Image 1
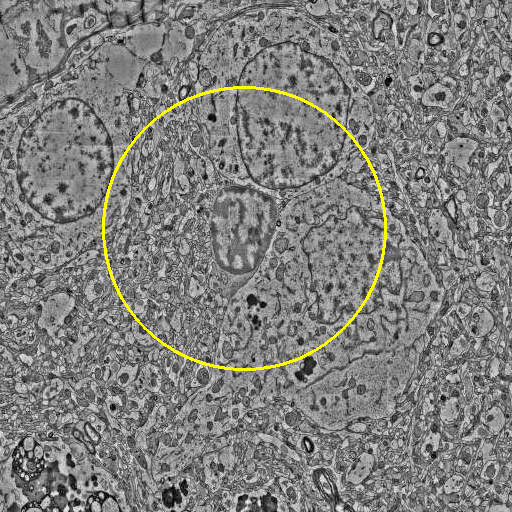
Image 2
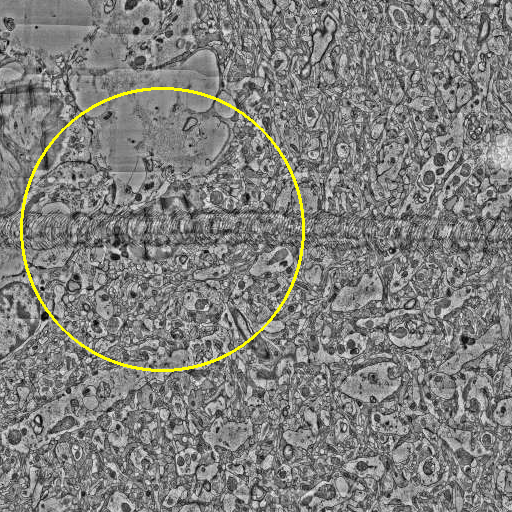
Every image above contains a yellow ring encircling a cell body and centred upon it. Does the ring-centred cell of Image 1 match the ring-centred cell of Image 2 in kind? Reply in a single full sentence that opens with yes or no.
Yes, the cell at the ring's centre in Image 1 is the same kind as that in Image 2.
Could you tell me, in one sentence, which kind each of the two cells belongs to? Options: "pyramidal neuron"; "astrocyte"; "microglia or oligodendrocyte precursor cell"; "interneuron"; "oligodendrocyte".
Each of the two rings surrounds an oligodendrocyte.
